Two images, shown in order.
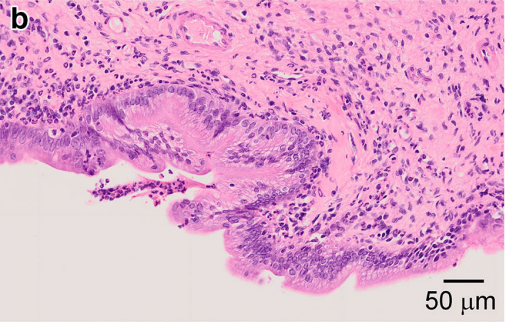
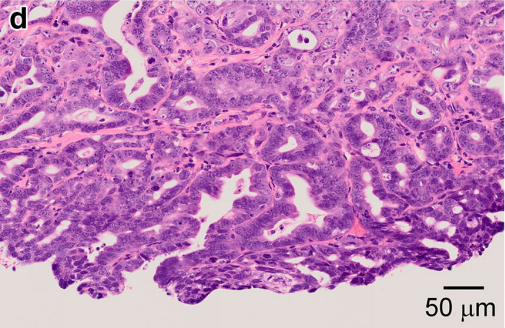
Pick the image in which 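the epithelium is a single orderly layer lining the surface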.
The first image.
